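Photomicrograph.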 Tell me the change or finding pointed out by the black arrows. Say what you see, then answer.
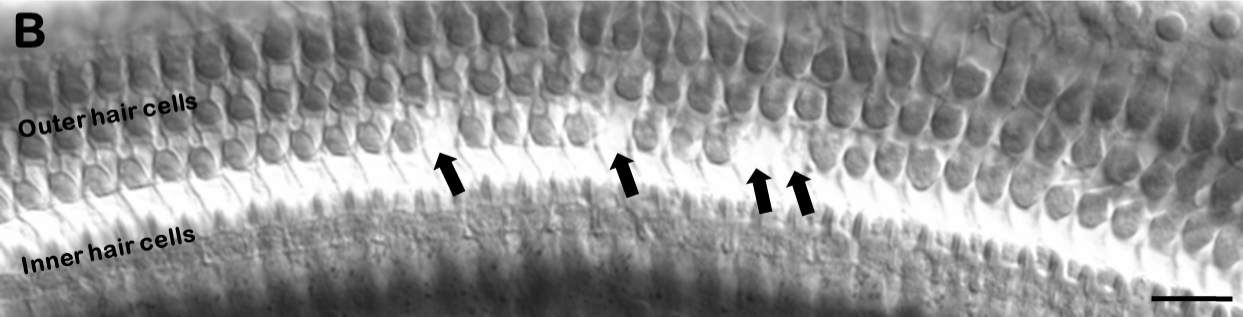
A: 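Each black arrow points to a gap in the otherwise regular rows of rounded cells. At the arrowed spots no rounded cell profile fills its place in the row.
Answer: missing cells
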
